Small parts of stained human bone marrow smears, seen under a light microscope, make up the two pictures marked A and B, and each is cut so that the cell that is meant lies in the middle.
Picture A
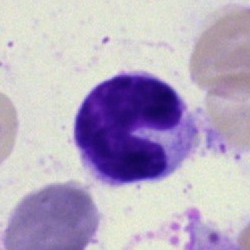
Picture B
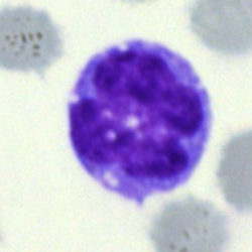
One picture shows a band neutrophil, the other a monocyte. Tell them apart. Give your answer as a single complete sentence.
Picture A shows a band neutrophil and picture B shows a monocyte.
